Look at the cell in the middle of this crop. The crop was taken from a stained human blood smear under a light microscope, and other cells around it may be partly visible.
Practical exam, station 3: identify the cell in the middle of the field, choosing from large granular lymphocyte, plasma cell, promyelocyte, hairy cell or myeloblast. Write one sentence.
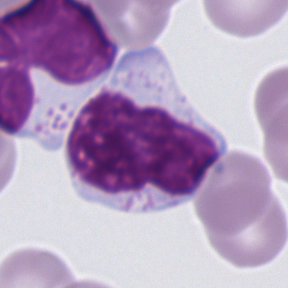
The central element of this crop is a cell, namely a large granular lymphocyte.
